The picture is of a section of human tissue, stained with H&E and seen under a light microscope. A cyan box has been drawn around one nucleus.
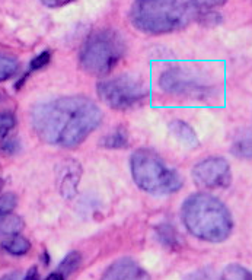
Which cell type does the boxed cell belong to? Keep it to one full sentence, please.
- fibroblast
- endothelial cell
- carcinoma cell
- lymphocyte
In short, the boxed cell on this section is a carcinoma cell.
